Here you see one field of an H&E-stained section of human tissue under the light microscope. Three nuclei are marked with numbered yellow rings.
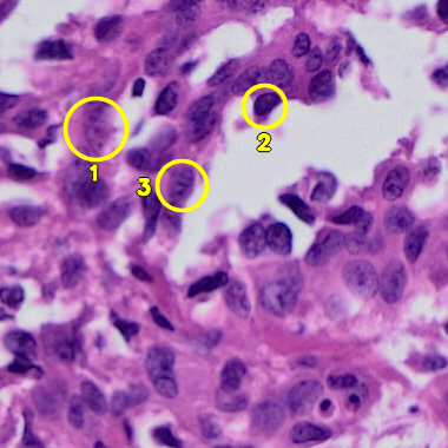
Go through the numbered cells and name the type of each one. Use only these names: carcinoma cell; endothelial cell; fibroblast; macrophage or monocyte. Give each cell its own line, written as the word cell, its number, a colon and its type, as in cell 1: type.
cell 1: endothelial cell
cell 2: carcinoma cell
cell 3: carcinoma cell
